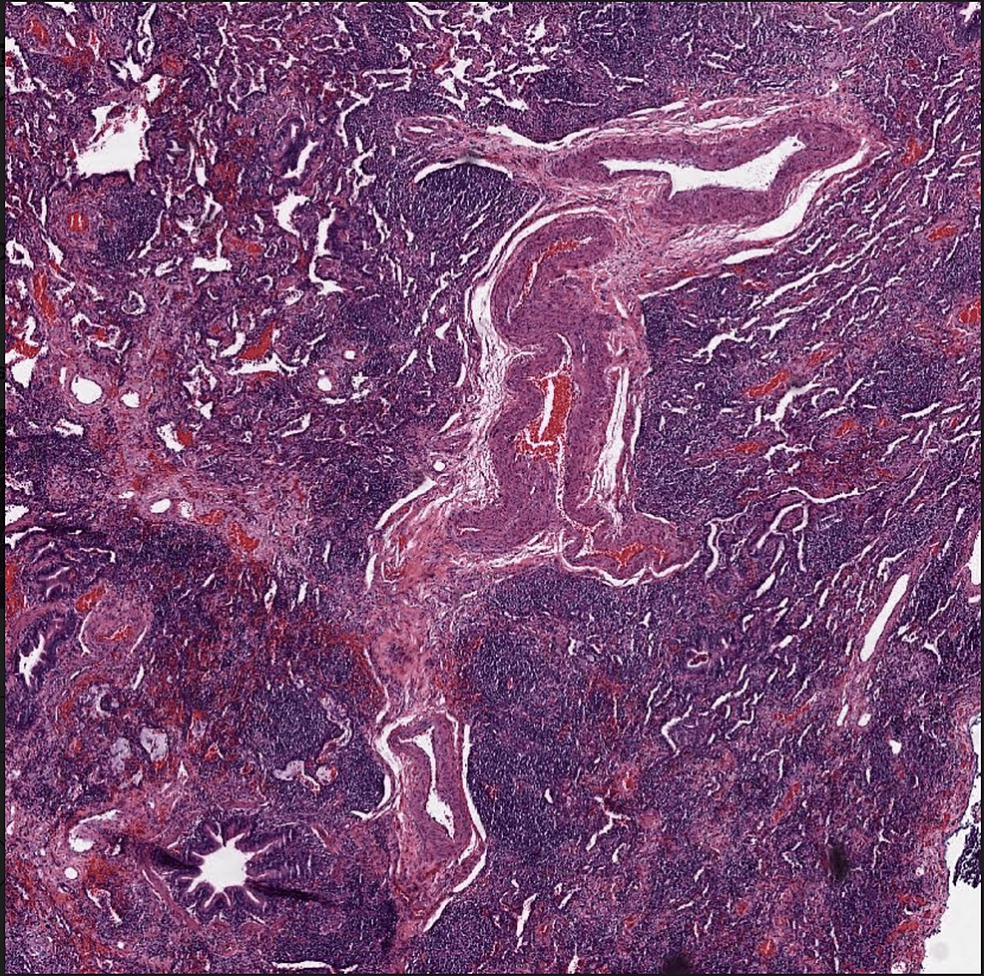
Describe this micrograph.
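Low-power lung parenchyma in which alveolar walls are widened by dense, dark purple sheets of small round cells, leaving the airspaces as narrow slits. Large, thick-walled pink vessels run through the centre, and a small airway with a folded, star-shaped lumen lies at the lower left. Red blood cells fill many capillaries and small spaces throughout.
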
